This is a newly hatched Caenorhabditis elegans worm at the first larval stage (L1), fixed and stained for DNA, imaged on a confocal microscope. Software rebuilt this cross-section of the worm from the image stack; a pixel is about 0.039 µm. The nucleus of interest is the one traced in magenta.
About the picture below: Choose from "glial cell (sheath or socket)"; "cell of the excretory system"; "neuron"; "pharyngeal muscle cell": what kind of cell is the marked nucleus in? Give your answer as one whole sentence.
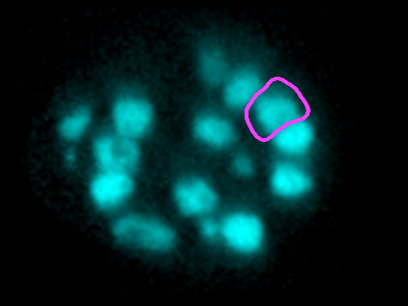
The marked nucleus is that of a cell of the excretory system.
